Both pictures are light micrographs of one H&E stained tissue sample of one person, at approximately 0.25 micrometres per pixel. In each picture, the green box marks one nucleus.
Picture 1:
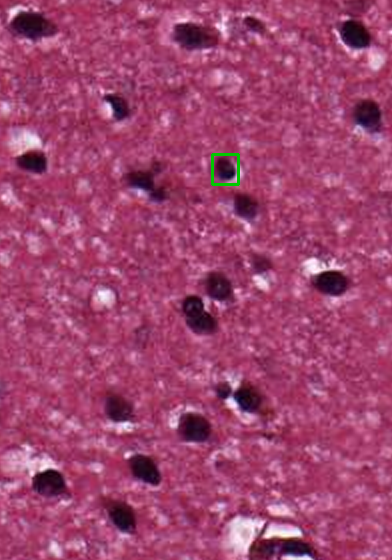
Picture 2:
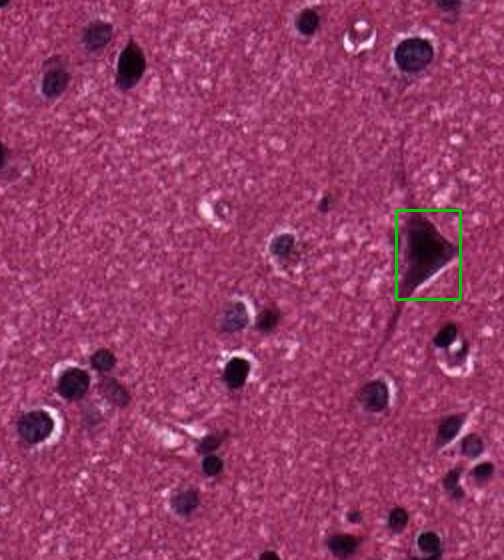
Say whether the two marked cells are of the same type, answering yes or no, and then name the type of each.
No, the first is an oligodendrocyte and the second a neuron.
